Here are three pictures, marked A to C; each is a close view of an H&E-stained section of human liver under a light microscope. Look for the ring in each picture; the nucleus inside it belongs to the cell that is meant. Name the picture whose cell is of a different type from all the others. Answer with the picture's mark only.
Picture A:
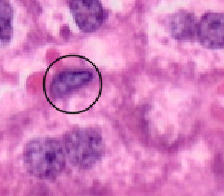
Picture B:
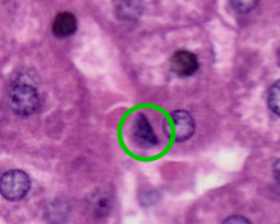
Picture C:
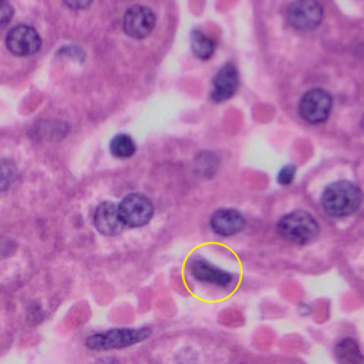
B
